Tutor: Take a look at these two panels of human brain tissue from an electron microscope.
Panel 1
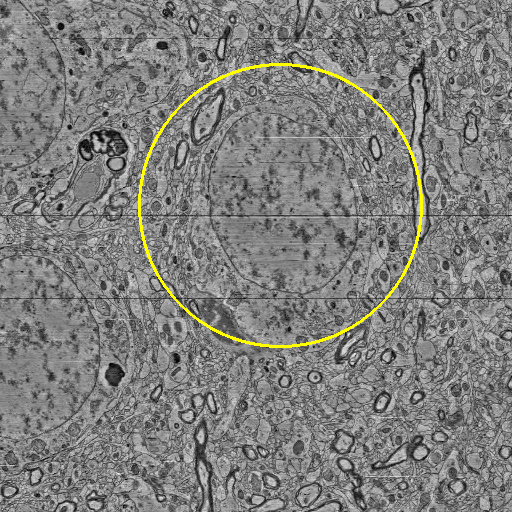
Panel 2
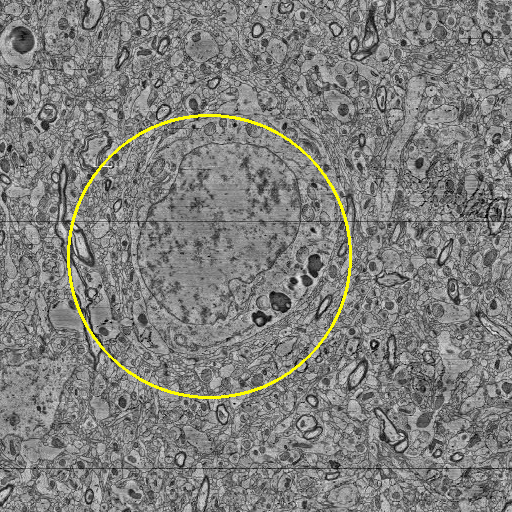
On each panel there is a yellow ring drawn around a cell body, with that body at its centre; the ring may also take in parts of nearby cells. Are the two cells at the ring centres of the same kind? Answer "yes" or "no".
yes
